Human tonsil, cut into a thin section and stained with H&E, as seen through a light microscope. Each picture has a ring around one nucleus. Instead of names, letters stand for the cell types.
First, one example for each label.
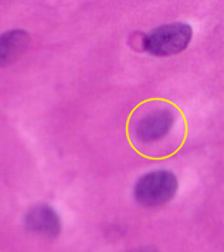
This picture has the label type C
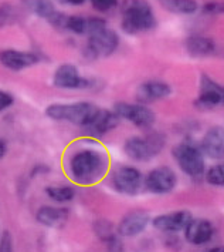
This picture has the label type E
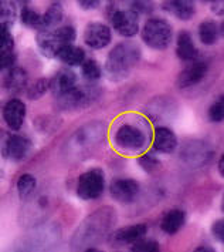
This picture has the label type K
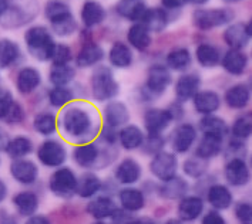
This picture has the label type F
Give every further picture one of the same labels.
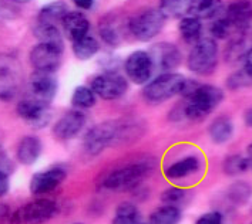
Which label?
type K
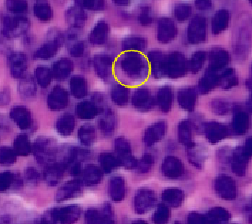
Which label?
type F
